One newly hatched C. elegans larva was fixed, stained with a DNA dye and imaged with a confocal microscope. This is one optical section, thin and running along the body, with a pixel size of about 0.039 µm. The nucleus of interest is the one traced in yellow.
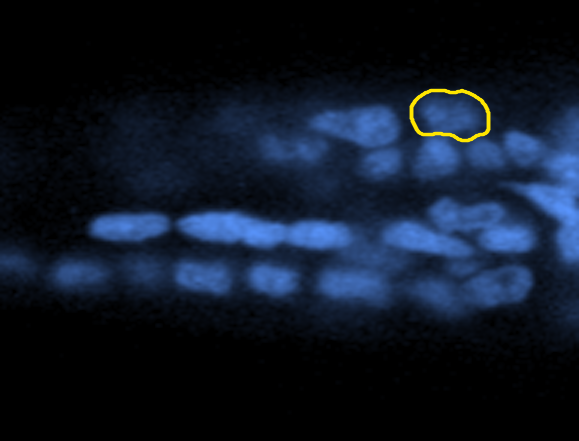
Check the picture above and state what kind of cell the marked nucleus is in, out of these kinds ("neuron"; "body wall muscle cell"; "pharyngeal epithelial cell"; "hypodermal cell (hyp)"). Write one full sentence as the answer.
What is marked is the nucleus of a body wall muscle cell.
